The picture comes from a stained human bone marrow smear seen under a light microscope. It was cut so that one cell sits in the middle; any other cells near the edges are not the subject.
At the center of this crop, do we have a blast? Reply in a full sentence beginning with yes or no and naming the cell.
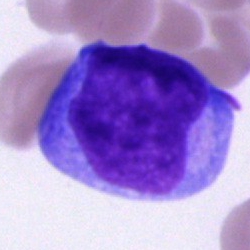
Yes, it is a blast that occupies the centre of the crop.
